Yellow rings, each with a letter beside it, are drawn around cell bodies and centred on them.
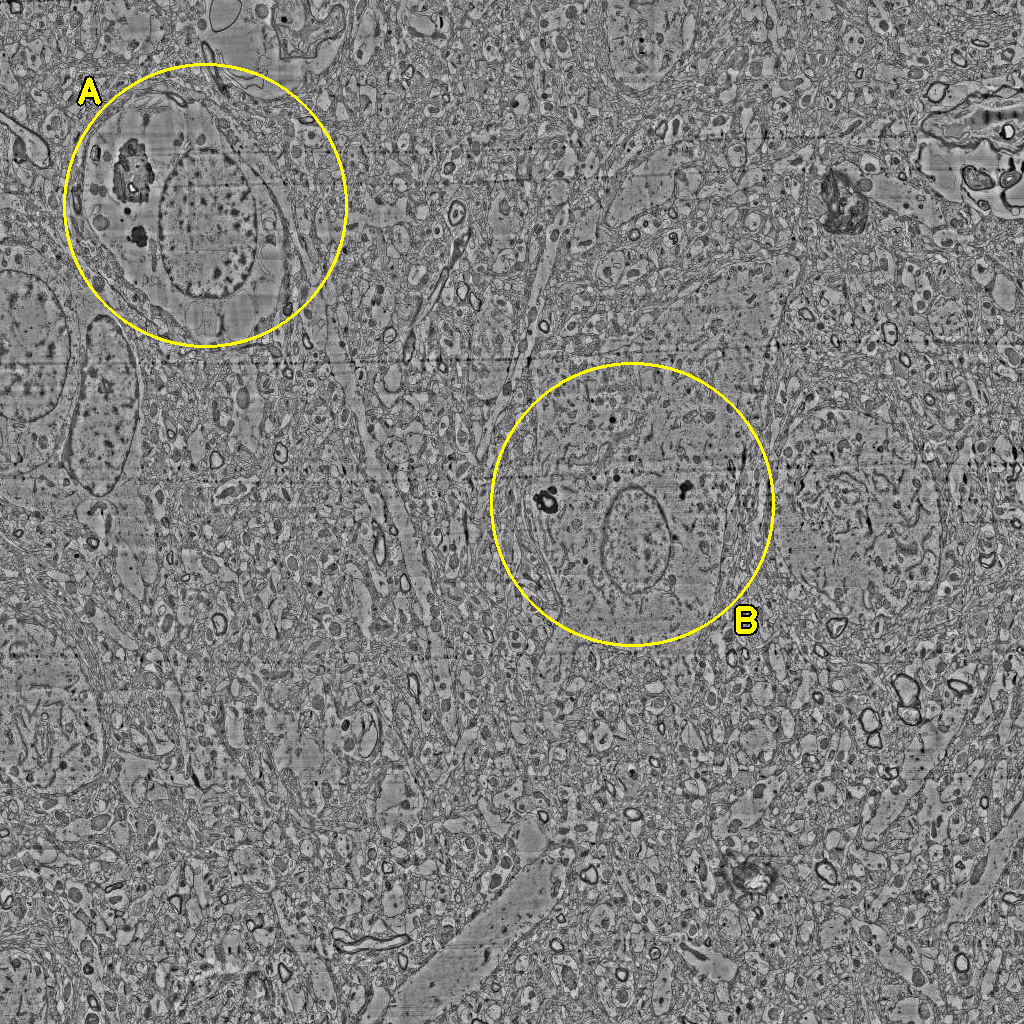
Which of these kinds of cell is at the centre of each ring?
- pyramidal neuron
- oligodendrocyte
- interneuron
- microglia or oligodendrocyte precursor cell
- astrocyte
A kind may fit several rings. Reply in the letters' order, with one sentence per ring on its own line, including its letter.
The cell in the middle of ring A is an astrocyte.
The cell in the middle of ring B is a pyramidal neuron.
